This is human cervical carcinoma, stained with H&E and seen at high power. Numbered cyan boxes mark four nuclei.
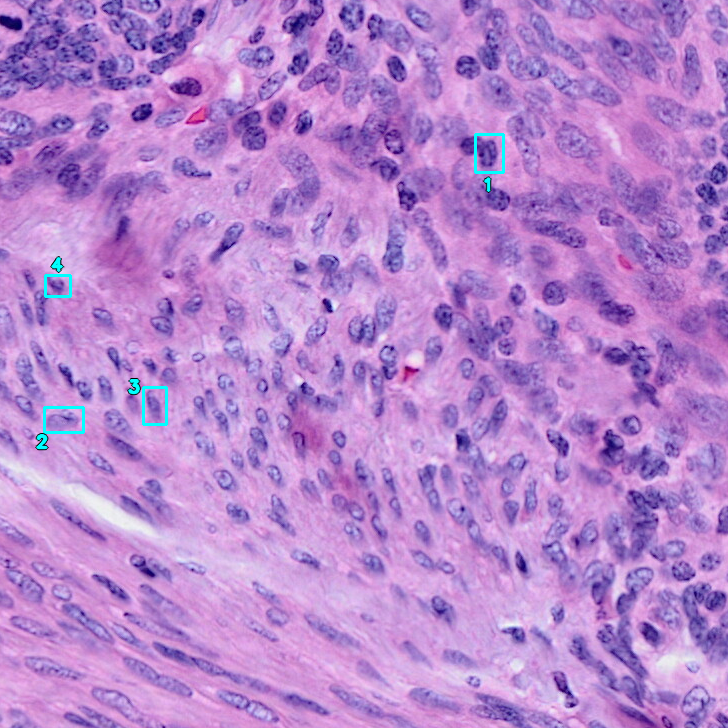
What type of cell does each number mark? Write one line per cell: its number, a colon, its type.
1: lymphocyte
2: smooth muscle cell
3: smooth muscle cell
4: smooth muscle cell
